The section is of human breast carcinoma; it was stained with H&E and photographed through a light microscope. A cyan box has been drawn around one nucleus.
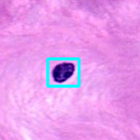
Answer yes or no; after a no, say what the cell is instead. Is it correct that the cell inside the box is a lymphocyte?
Yes.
